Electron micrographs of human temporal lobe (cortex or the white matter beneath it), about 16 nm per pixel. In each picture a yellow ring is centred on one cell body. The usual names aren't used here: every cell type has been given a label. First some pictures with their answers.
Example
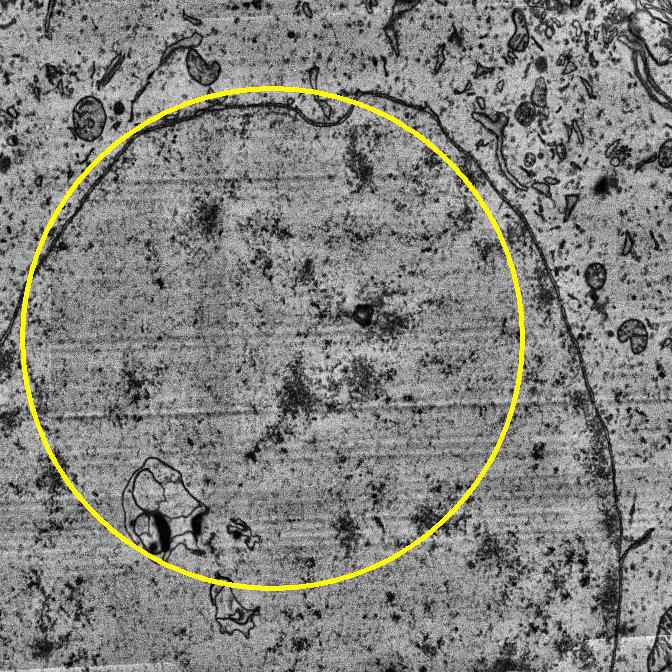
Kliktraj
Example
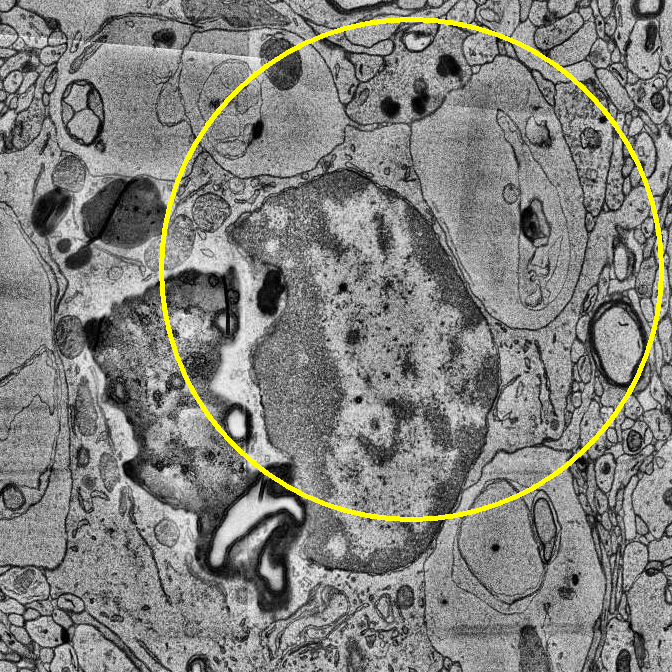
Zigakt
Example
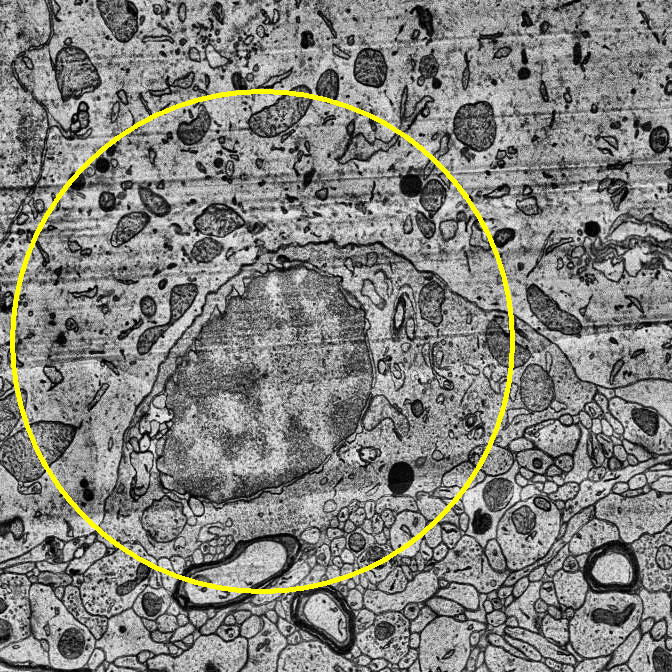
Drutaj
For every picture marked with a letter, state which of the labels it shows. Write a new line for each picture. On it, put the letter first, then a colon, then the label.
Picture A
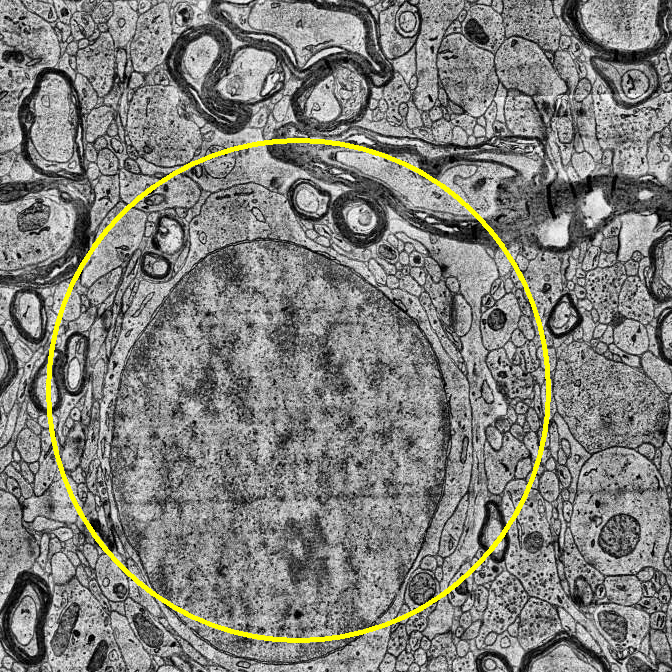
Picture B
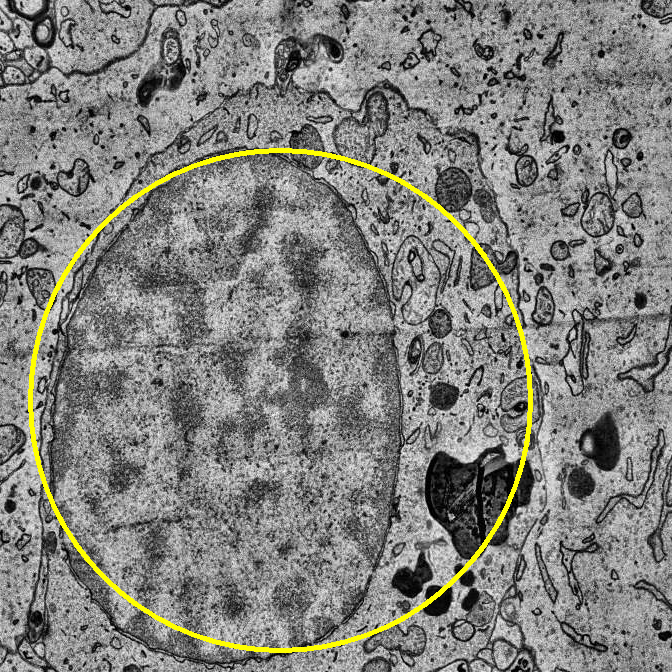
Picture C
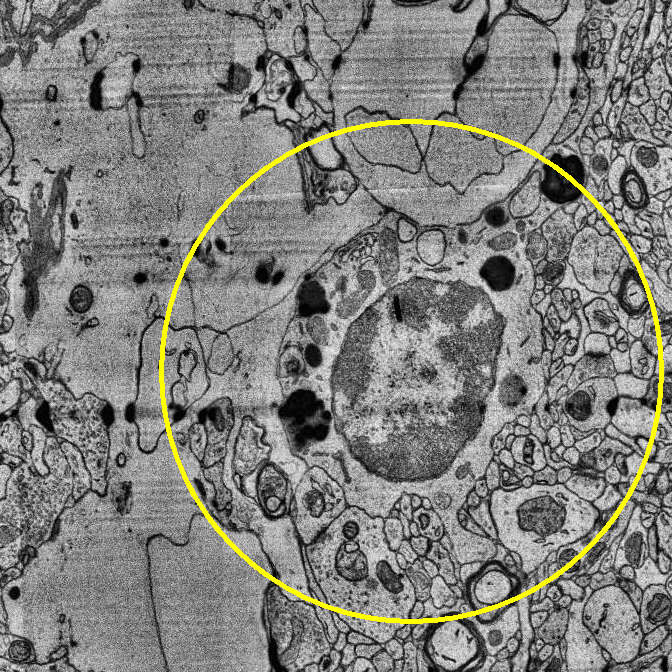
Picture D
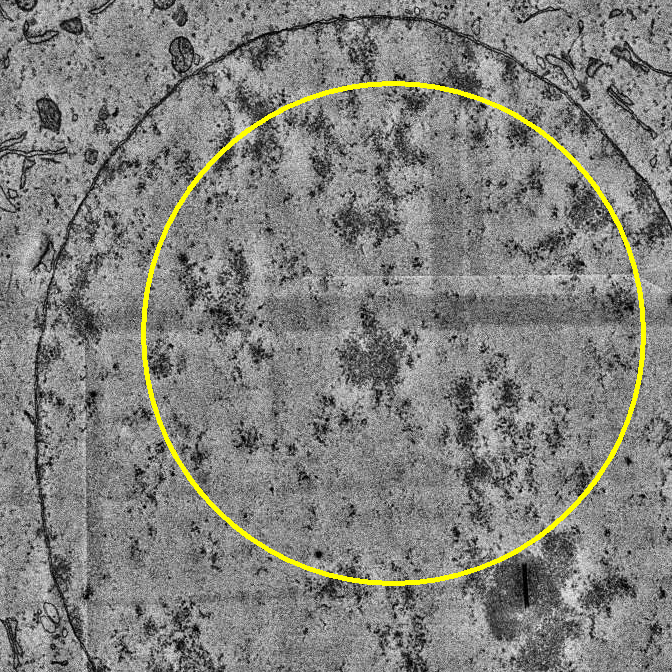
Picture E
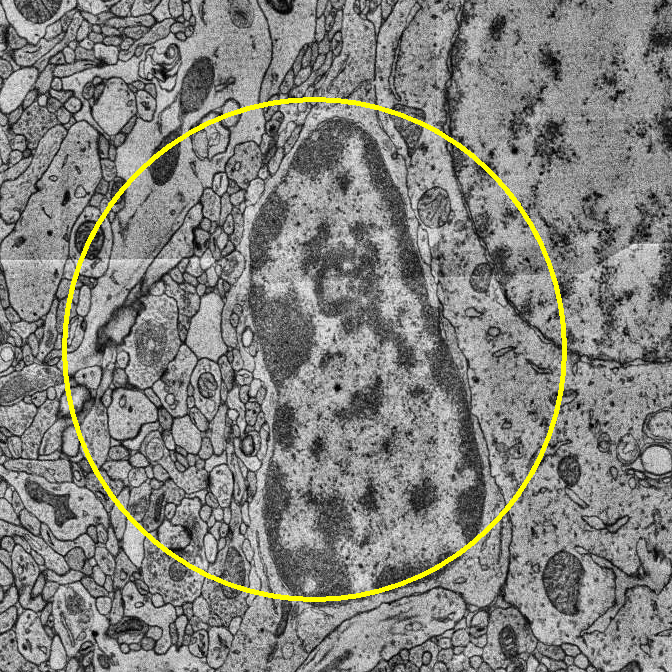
A: Zigakt
B: Drutaj
C: Zigakt
D: Kliktraj
E: Zigakt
